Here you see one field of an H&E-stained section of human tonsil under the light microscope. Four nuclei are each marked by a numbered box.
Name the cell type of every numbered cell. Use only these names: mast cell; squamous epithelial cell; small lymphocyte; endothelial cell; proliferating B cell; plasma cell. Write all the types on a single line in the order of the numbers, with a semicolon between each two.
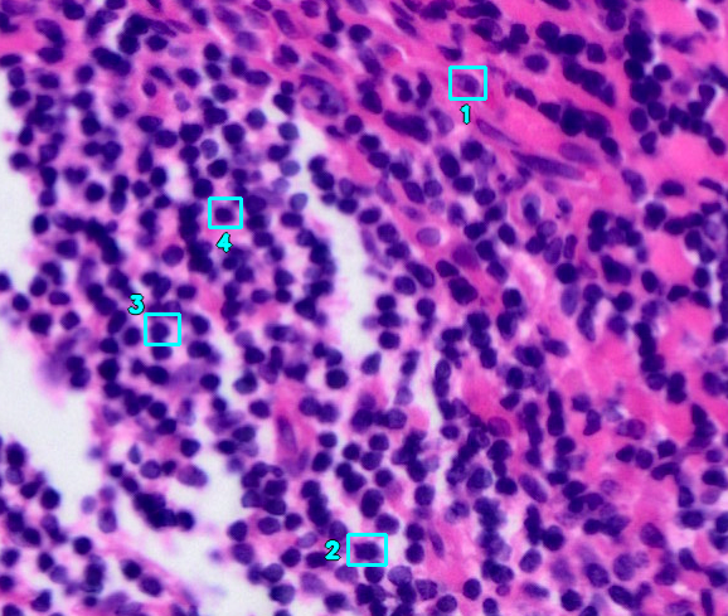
endothelial cell; small lymphocyte; small lymphocyte; small lymphocyte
